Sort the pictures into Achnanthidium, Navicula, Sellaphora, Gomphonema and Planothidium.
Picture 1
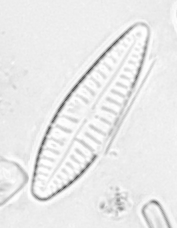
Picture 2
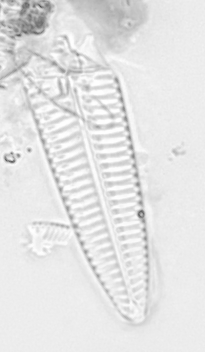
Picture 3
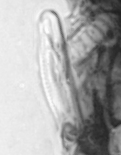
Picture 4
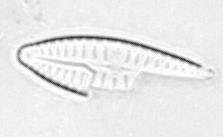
Gomphonema: 1, 4
Navicula: 2
Achnanthidium: 3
